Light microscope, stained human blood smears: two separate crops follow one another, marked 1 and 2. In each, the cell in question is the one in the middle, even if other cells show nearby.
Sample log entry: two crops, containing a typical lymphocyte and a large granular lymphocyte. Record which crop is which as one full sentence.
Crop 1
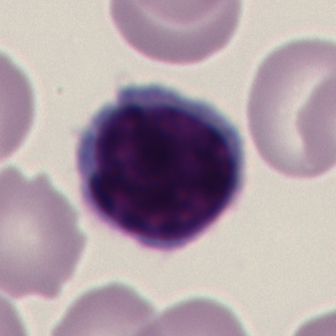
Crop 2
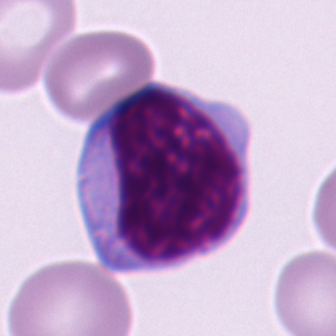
It is a typical lymphocyte that crop 1 shows, and a large granular lymphocyte that crop 2 shows.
